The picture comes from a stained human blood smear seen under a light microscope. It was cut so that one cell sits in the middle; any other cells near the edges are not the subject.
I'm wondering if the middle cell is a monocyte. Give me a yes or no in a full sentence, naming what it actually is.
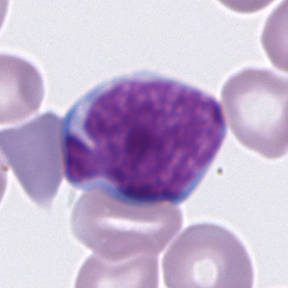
No, the cell located centrally is a myeloblast rather than a monocyte.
